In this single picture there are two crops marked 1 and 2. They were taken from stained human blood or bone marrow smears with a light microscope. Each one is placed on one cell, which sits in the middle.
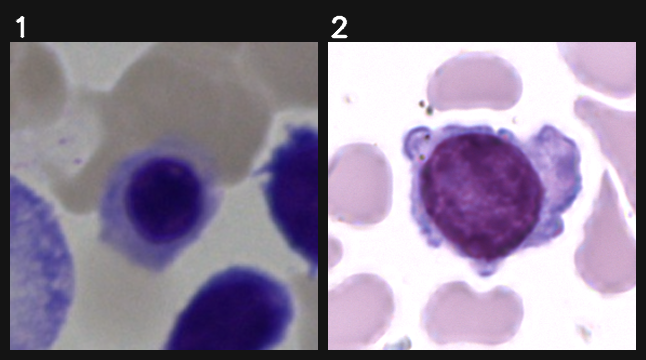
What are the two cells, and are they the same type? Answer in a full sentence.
No, crop 1 contains a normoblast, whereas crop 2 contains a plasma cell.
